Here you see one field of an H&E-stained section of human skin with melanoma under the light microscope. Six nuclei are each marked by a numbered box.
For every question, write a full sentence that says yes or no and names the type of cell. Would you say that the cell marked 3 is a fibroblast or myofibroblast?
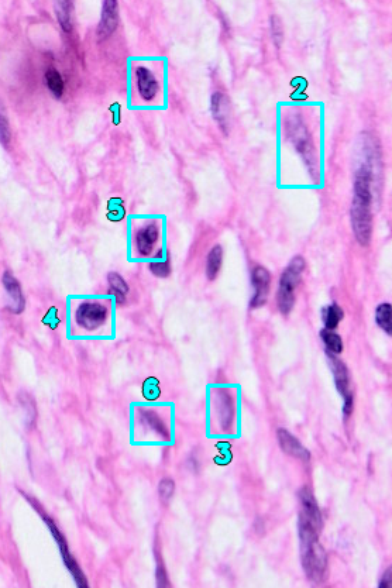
Yes, that is correct: the cell numbered 3 is a fibroblast or myofibroblast.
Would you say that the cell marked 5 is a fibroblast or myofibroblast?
No, the cell under number 5 is a macrophage or monocyte, not a fibroblast or myofibroblast.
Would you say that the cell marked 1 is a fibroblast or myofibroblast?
No, cell 1 isn't a fibroblast or myofibroblast; it's a lymphocyte.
